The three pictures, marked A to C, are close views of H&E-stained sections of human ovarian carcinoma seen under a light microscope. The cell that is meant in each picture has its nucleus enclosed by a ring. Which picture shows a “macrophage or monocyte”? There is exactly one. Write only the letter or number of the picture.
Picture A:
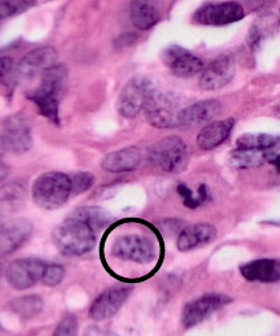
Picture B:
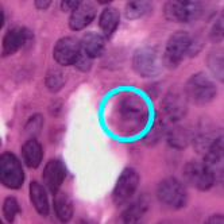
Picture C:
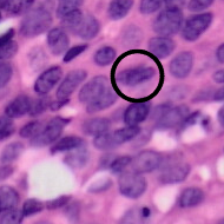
A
